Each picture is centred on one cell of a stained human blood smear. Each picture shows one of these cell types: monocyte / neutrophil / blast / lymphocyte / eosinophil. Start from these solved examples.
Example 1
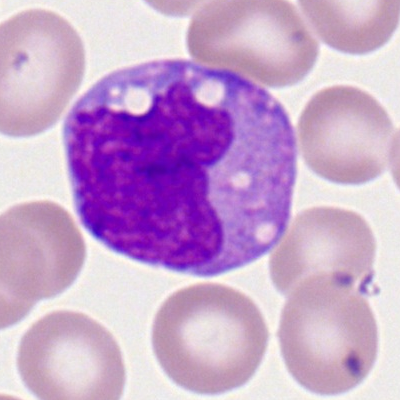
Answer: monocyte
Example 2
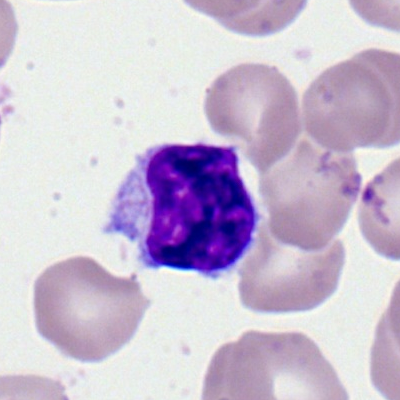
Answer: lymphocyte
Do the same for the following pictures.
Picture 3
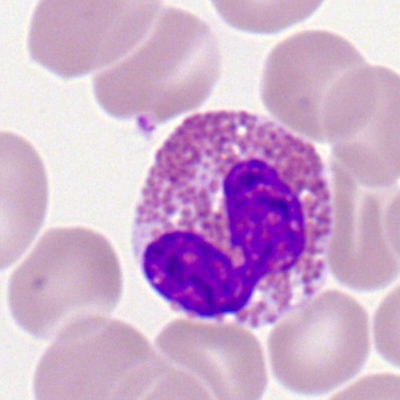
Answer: eosinophil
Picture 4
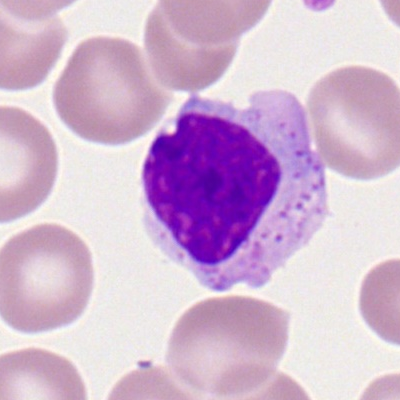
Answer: lymphocyte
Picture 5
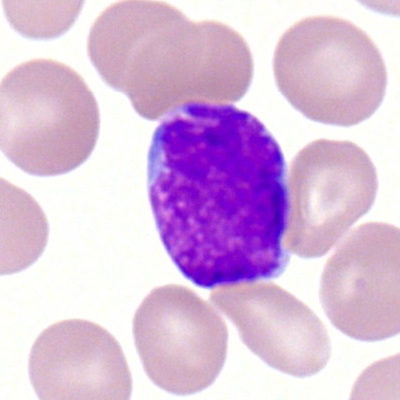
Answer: blast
